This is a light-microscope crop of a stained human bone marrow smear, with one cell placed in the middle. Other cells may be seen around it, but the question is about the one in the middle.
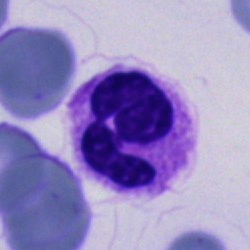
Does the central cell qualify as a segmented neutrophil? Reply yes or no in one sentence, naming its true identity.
Yes, the cell at the centre is designated a segmented neutrophil.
